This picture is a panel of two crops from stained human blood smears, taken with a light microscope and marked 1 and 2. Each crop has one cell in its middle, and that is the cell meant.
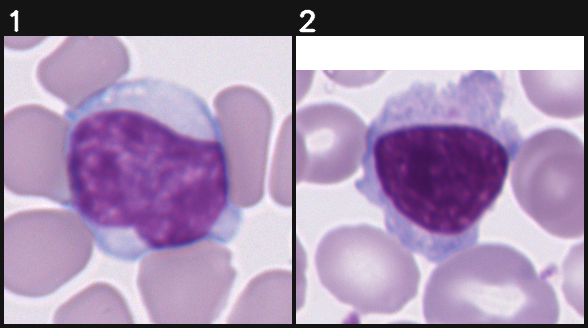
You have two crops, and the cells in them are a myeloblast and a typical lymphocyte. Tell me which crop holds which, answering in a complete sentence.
In short, crop 1 is a myeloblast and crop 2 is a typical lymphocyte.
